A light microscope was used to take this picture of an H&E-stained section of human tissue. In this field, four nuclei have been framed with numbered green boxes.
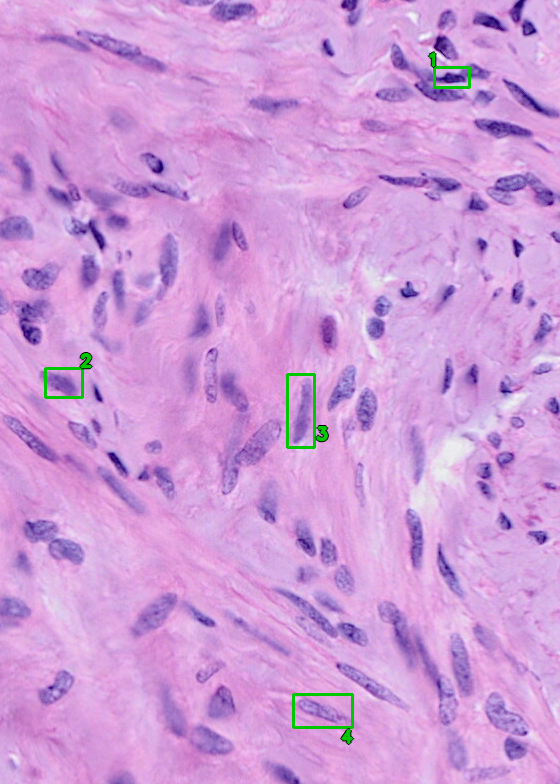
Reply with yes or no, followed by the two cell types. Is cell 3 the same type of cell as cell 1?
Yes, that cells 3 and 1 are both fibroblasts holds true.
